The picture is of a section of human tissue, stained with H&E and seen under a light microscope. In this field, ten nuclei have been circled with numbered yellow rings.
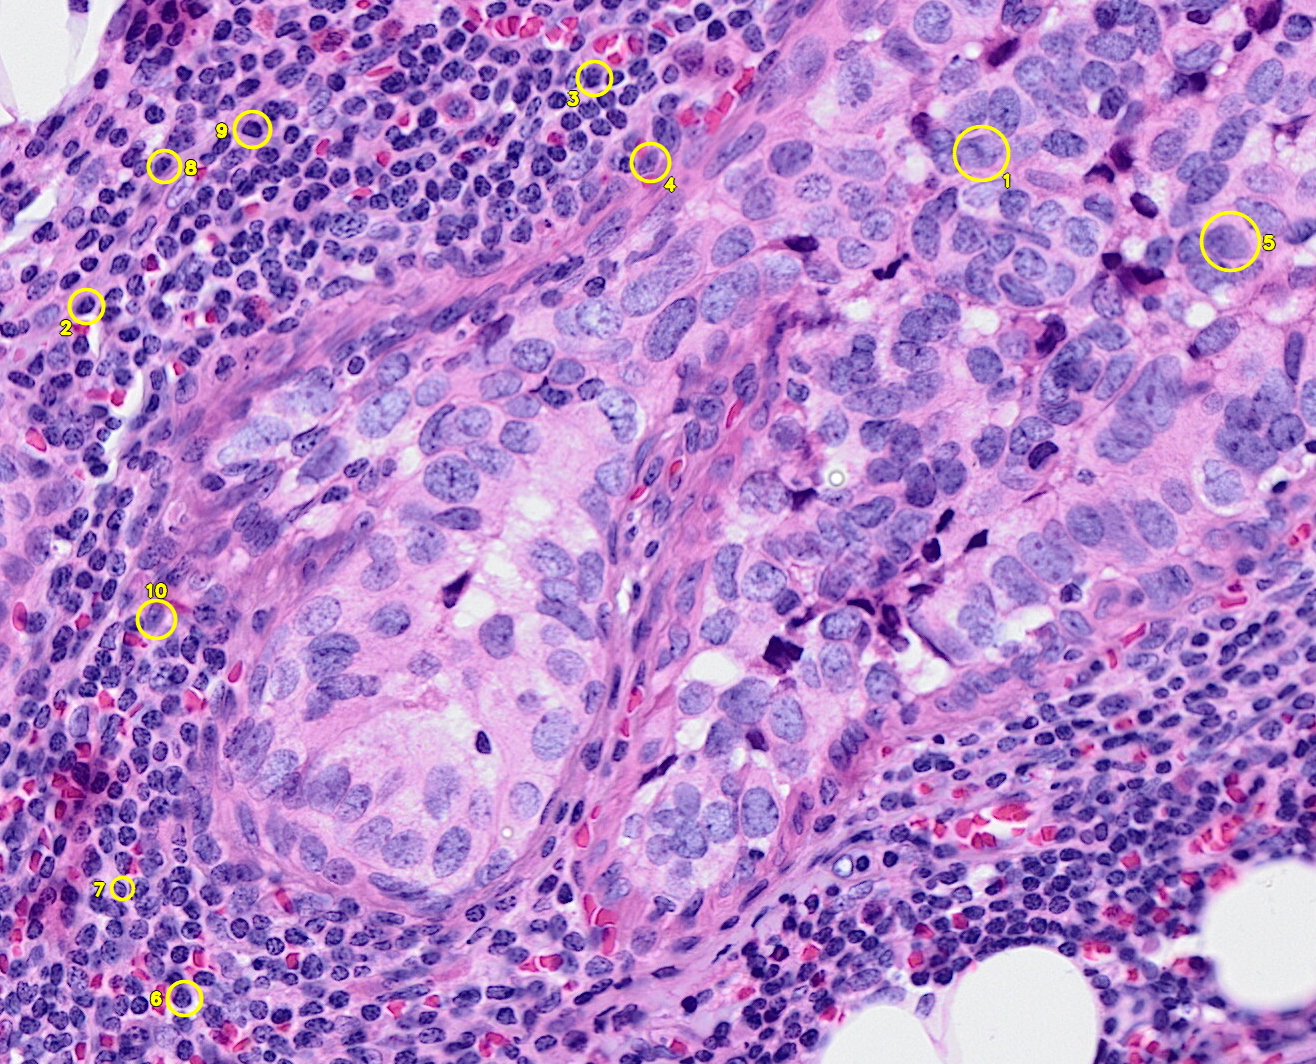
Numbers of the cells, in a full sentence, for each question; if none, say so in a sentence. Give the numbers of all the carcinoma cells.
The cells tagged with numbers 1 and 5 are carcinoma cells.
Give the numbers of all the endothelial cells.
Cells 4 and 10 are endothelial cells by cell type.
